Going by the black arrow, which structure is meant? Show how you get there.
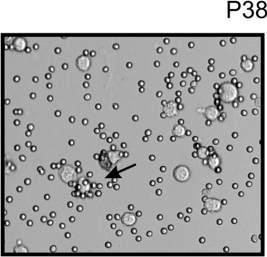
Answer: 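Rosettes. A cluster of small round cells is packed around a larger cell at the arrow tip. Elsewhere the small round cells are mostly separate.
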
